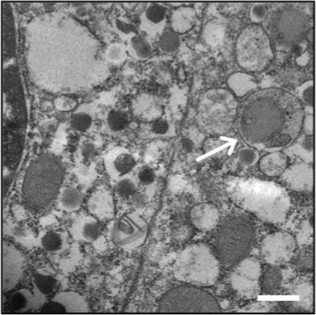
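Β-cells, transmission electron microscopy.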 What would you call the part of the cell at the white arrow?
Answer: autophagosomes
